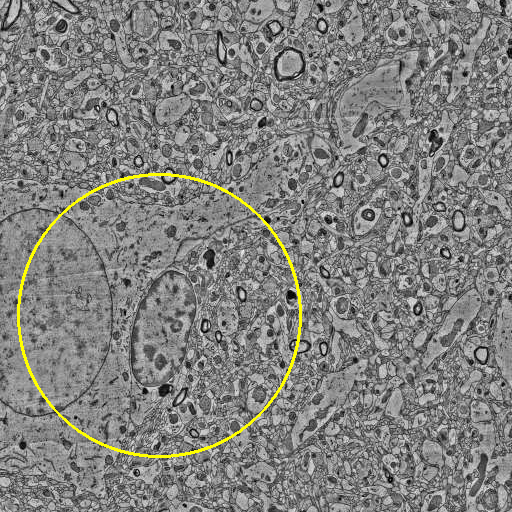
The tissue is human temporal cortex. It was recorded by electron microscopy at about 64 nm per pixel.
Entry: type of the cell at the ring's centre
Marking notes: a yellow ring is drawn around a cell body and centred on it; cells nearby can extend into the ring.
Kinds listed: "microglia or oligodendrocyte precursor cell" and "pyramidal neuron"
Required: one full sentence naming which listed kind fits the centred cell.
My entry names a microglial cell or oligodendrocyte precursor cell as the cell whose body the yellow ring centres on.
